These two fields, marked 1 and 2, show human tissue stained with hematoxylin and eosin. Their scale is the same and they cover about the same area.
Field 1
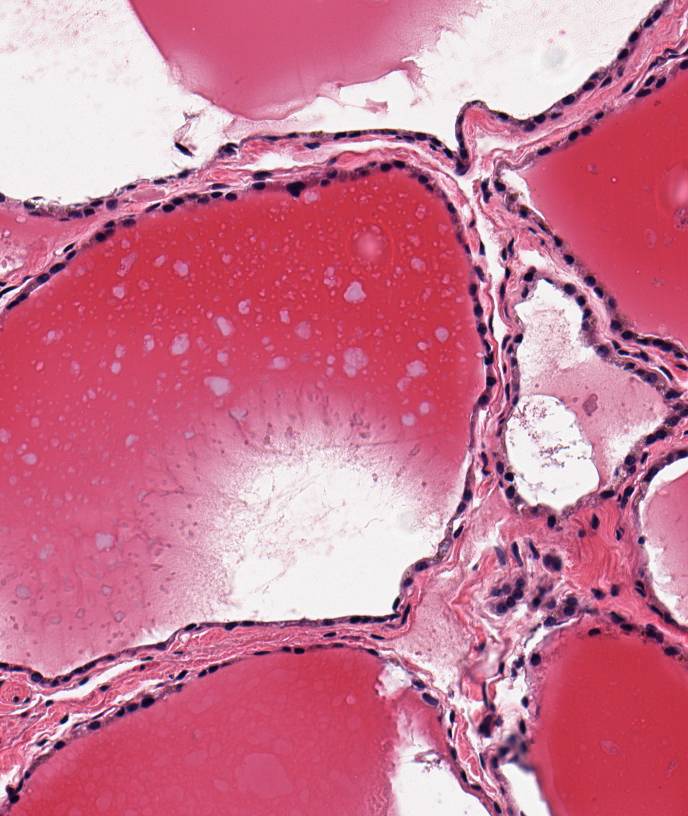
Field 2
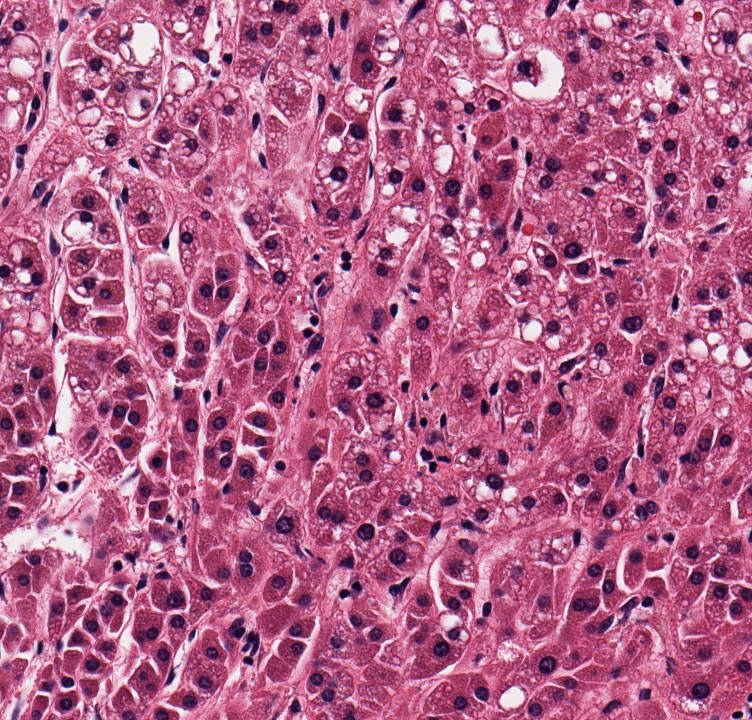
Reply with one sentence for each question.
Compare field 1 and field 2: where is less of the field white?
Less of field 2 is empty and white.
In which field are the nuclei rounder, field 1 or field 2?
On the whole the nuclei of field 2 are rounder than those of field 1.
